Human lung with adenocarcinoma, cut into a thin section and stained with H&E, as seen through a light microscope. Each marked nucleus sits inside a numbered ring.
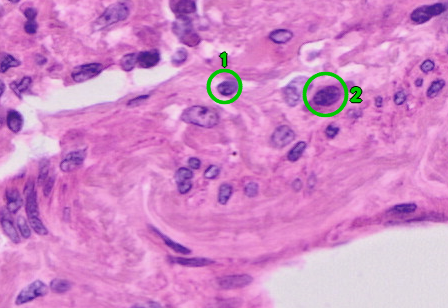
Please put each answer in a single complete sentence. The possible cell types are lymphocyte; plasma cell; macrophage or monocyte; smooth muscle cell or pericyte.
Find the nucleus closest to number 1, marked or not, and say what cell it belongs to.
The nucleus nearest to number 1 is that of a macrophage or monocyte.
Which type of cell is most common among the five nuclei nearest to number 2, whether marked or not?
Most of the five nuclei nearest to number 2 are those of smooth muscle cells or pericytes.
